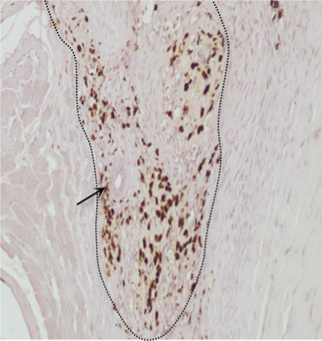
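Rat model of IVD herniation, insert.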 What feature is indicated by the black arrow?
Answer: A blood vessel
